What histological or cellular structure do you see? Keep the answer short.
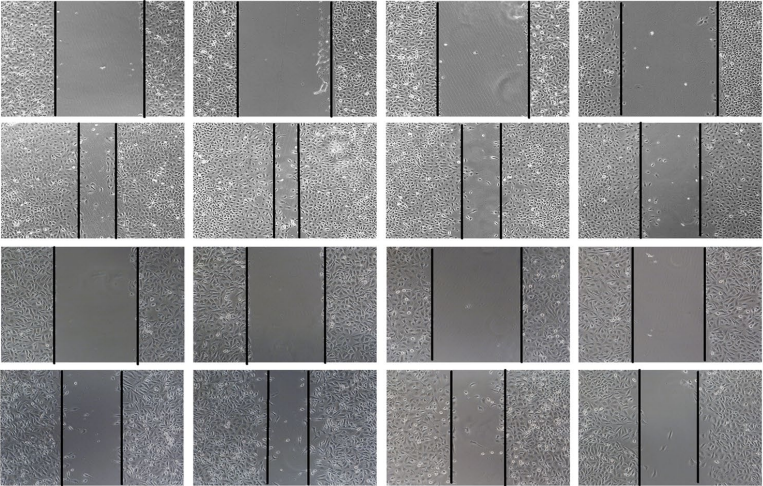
Scratch wounds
